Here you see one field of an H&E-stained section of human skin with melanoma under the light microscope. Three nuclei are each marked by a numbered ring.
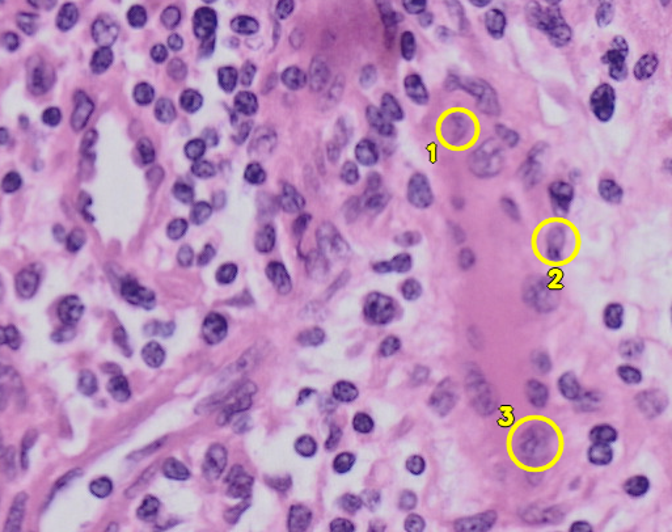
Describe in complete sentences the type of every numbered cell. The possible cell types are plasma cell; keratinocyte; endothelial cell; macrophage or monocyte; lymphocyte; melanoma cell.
Cell 1 is an endothelial cell, cell 2 is a macrophage or monocyte and cell 3 is an endothelial cell.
